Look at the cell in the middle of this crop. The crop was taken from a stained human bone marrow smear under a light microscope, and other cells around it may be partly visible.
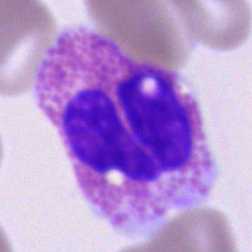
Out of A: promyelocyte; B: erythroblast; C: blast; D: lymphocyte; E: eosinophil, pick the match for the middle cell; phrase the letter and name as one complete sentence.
Option E is the correct selection, for the cell at the centre is an eosinophil.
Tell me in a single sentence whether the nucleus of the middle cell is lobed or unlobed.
What stands out is the nucleus, split into two or more lobes.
